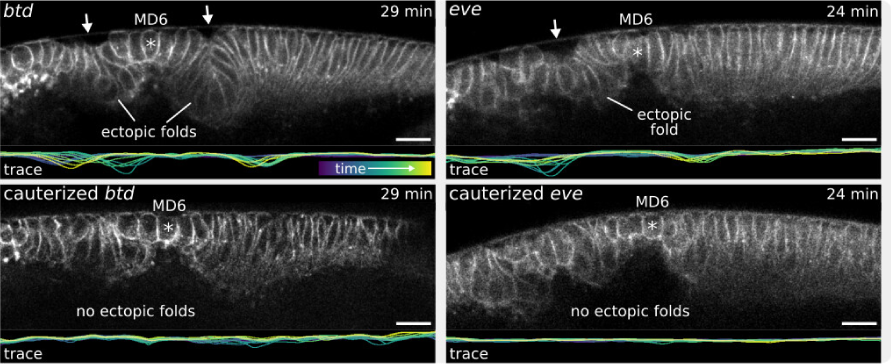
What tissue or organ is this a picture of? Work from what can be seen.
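A single continuous layer of tall columnar cells lines the surface in each image. Cell outlines are bright and the cells stand side by side in a sheet. The answer: epithelium.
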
